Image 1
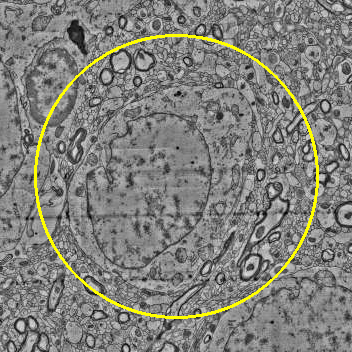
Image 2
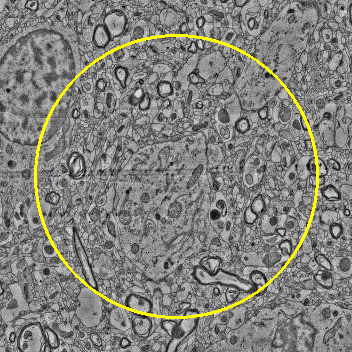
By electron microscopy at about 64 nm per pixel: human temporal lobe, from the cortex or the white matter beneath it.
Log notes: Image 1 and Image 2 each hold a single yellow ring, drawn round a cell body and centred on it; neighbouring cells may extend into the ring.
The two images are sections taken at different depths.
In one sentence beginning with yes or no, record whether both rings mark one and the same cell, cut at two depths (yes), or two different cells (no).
Yes, a single cell is the subject of both yellow rings.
